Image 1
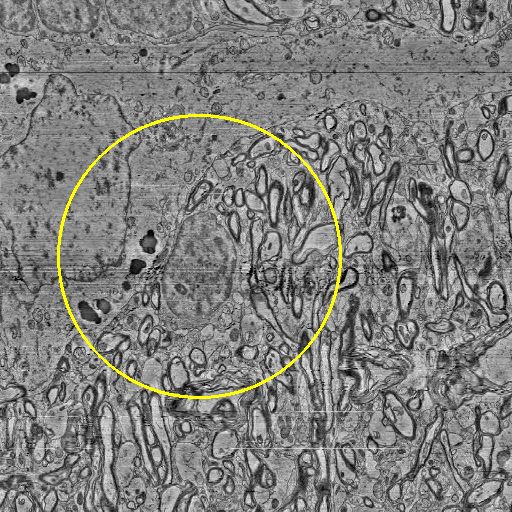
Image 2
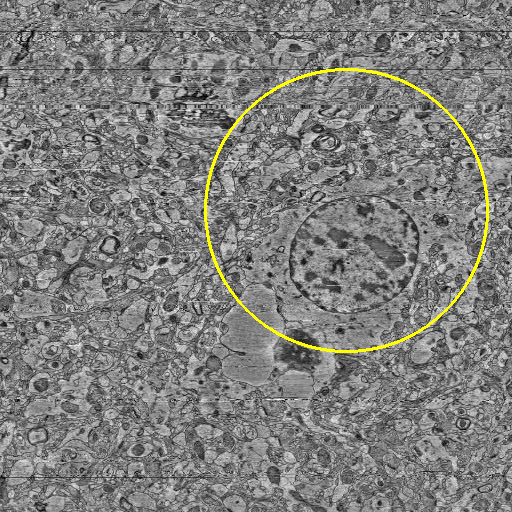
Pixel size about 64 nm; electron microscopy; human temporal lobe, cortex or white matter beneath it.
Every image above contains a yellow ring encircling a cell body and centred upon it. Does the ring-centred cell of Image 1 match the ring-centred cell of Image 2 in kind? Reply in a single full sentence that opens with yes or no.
No, the cell at the ring's centre in Image 1 is a separate kind from that in Image 2.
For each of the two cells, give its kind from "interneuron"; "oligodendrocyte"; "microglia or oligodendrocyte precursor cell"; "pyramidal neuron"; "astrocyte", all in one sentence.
The first picture has an oligodendrocyte in its ring, the second has an astrocyte.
